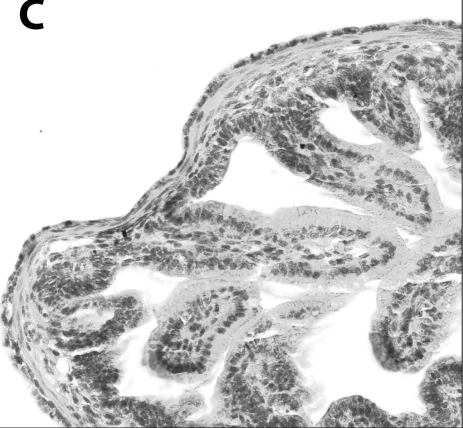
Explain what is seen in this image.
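Part of the gut wall in cross section, with finger-like villi projecting into the lumen from a thin outer wall. The villi are covered by a single layer of tall columnar epithelial cells whose dark oval nuclei are crowded toward the base, with paler cytoplasm toward the lumen, around a loose cellular core.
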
